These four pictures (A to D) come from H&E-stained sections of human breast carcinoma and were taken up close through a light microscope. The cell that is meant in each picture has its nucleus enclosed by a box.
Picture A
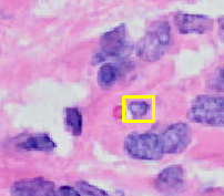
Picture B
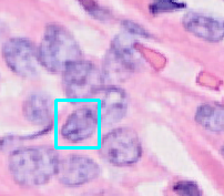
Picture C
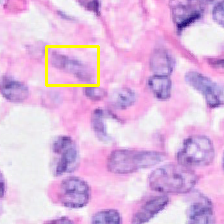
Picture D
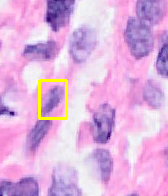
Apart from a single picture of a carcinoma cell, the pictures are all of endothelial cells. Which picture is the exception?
B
